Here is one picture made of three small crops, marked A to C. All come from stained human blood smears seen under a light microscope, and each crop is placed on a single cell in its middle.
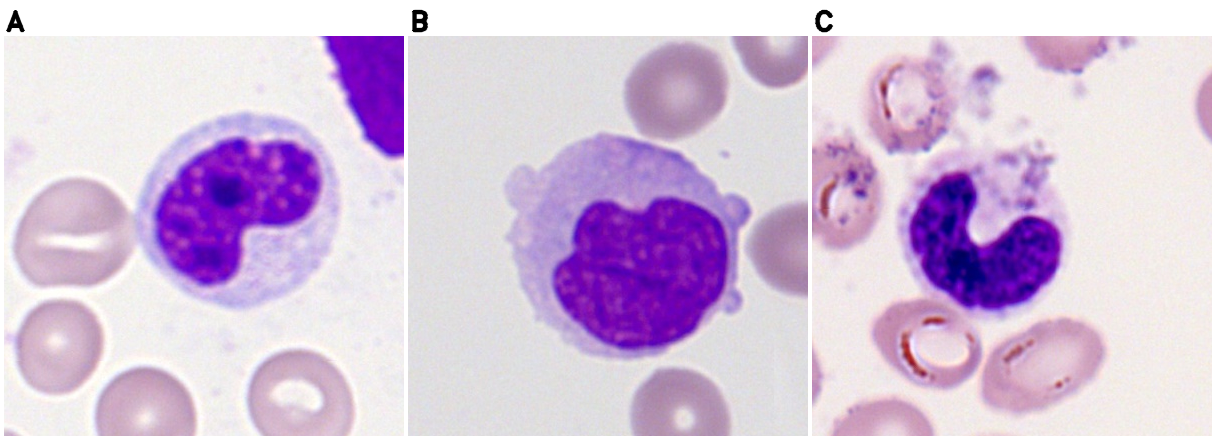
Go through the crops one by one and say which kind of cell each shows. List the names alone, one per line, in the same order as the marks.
segmented neutrophil
monocyte
band neutrophil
